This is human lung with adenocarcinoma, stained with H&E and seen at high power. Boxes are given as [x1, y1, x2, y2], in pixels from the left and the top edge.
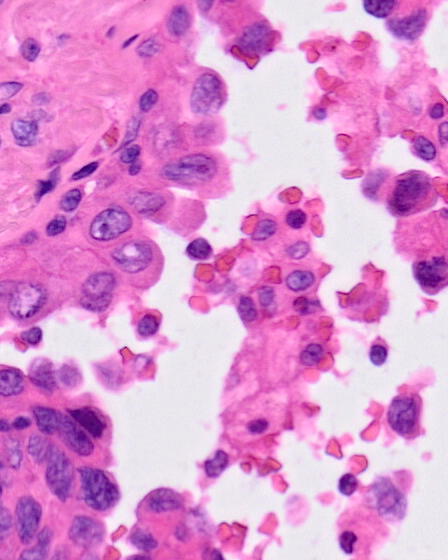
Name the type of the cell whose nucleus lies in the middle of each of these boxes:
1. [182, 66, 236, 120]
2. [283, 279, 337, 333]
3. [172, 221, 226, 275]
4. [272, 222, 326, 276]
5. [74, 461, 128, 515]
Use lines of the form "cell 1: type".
cell 1: carcinoma cell
cell 2: macrophage or monocyte
cell 3: lymphocyte
cell 4: macrophage or monocyte
cell 5: carcinoma cell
